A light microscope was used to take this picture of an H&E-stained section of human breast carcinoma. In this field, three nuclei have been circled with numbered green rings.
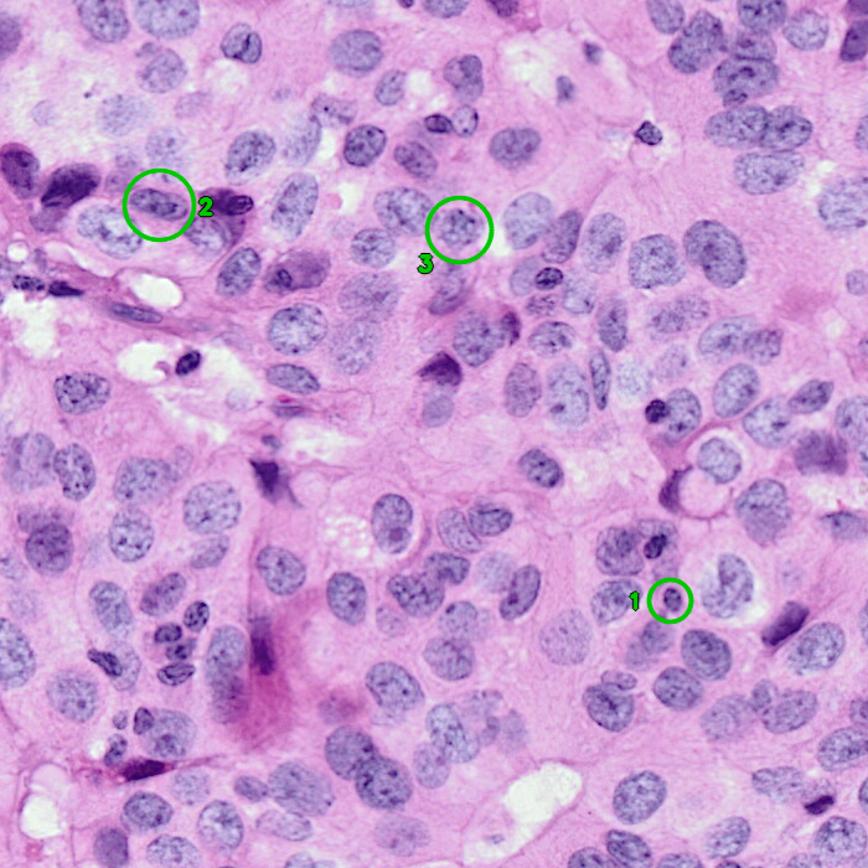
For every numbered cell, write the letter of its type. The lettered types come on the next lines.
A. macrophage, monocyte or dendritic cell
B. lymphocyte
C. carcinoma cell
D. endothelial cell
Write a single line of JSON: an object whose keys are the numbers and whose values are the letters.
{"1": "B", "2": "C", "3": "C"}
